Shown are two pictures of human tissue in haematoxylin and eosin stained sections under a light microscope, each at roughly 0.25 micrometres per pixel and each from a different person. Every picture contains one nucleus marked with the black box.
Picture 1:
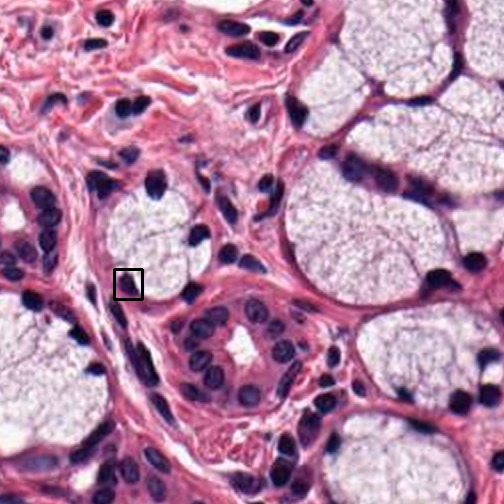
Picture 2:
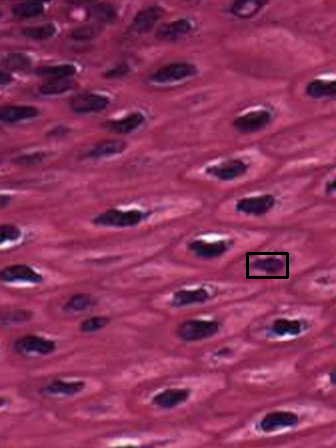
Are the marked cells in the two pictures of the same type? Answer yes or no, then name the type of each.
No, the first is a mucous gland cell and the second a squamous epithelial cell.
